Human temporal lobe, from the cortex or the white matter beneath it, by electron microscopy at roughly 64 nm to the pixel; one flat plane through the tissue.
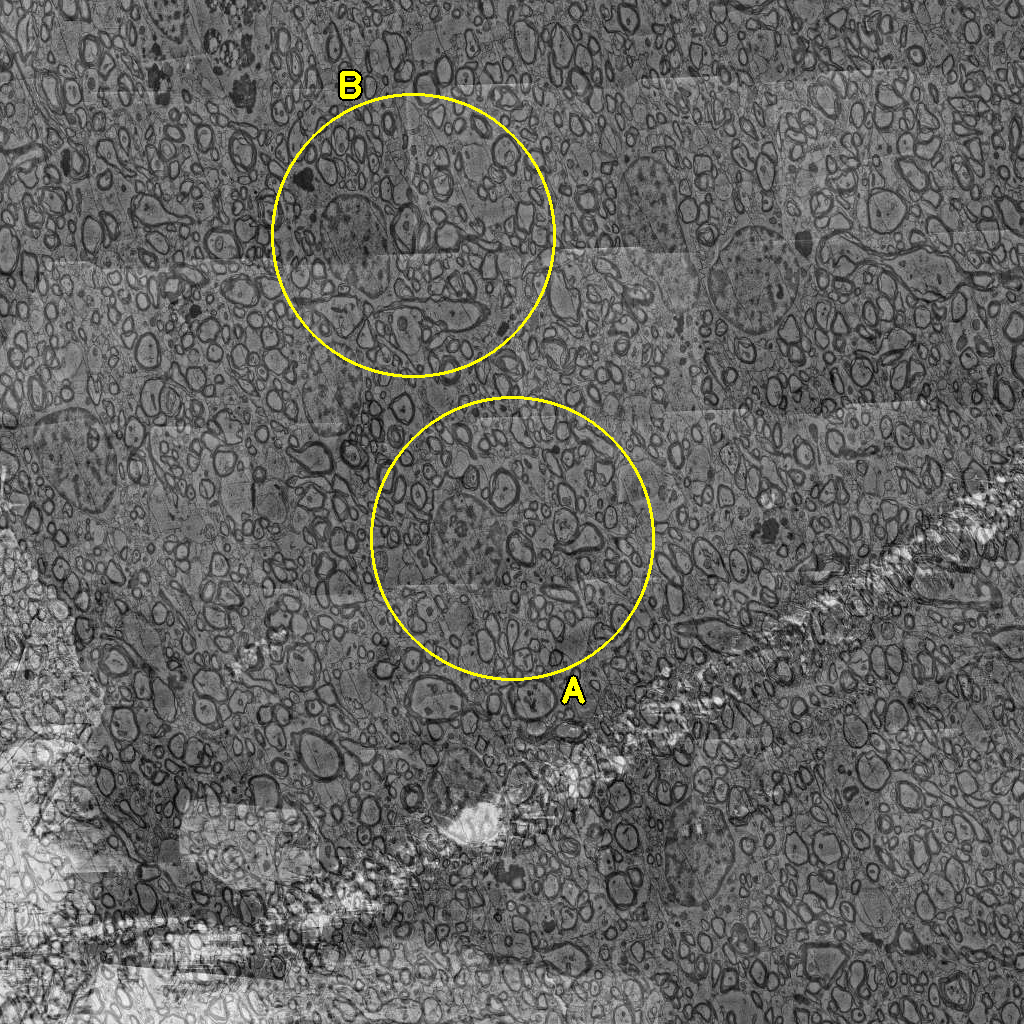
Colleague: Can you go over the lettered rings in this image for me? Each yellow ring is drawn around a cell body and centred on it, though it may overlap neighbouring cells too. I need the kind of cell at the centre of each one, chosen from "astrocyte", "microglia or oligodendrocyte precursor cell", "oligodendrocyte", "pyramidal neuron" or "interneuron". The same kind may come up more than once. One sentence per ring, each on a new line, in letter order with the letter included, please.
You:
Ring A marks the cell body of an oligodendrocyte.
Ring B marks the cell body of an oligodendrocyte.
